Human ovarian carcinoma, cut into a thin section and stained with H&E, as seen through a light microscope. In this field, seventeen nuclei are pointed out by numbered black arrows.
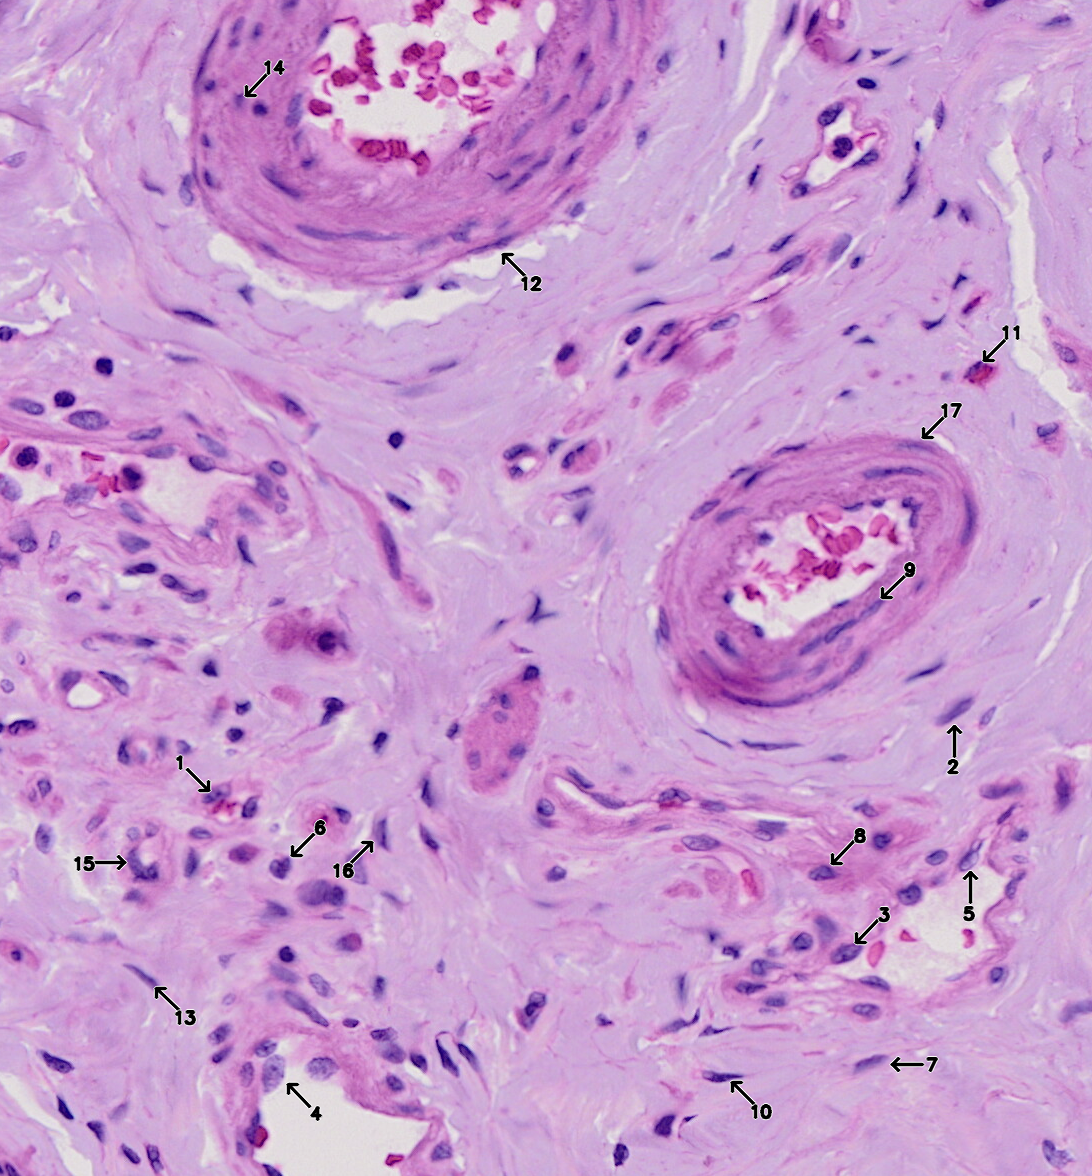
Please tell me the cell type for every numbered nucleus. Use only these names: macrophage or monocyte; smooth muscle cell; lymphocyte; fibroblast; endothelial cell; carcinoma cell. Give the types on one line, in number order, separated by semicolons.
endothelial cell; fibroblast; endothelial cell; endothelial cell; endothelial cell; lymphocyte; fibroblast; smooth muscle cell; smooth muscle cell; fibroblast; endothelial cell; smooth muscle cell; fibroblast; smooth muscle cell; endothelial cell; fibroblast; smooth muscle cell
